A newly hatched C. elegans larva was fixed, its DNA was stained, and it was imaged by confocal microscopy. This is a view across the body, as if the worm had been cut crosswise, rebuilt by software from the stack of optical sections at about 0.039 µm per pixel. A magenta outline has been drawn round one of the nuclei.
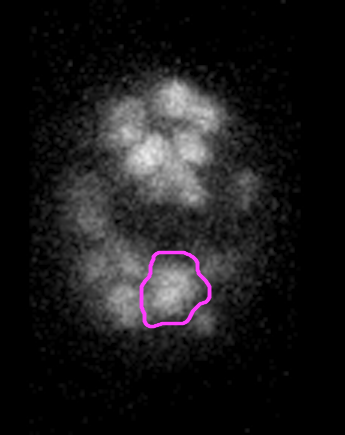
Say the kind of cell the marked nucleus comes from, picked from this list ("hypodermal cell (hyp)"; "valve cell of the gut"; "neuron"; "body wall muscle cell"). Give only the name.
valve cell of the gut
